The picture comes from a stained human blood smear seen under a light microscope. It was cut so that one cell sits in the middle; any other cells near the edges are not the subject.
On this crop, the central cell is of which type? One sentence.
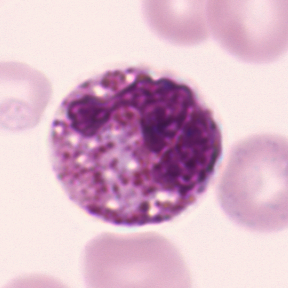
In the middle of this smear crop, the cell is an eosinophil.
